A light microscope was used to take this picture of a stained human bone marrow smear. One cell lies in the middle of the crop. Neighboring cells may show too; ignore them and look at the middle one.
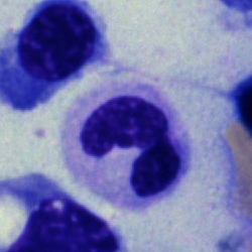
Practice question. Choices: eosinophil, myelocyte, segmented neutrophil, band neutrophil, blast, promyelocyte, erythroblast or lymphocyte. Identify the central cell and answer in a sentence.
The cell the crop is centered on is a segmented neutrophil.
